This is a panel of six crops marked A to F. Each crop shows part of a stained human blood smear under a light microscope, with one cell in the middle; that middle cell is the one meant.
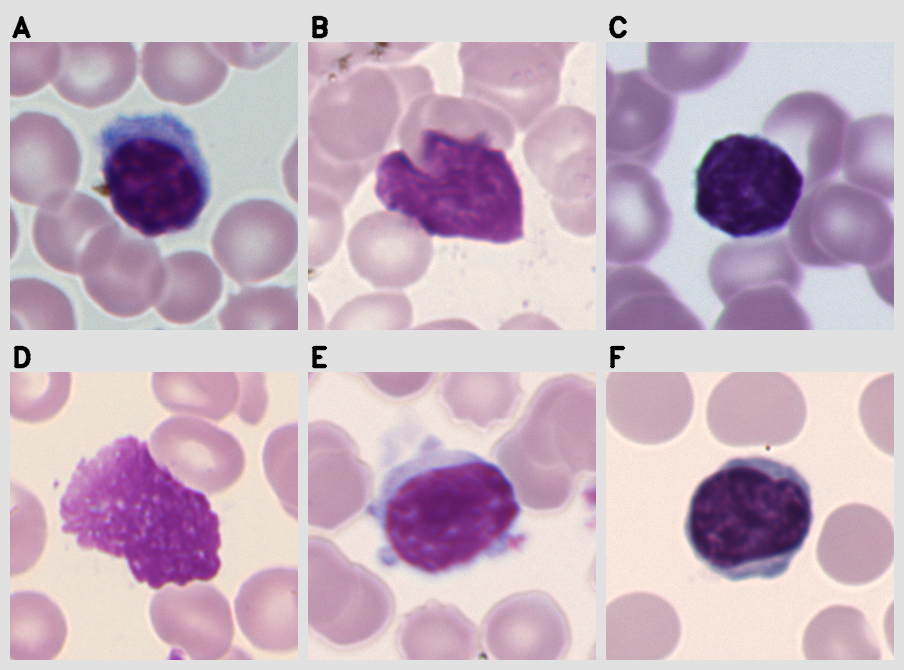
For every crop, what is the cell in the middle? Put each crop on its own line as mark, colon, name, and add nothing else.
A: typical lymphocyte
B: smudge cell
C: typical lymphocyte
D: smudge cell
E: typical lymphocyte
F: typical lymphocyte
